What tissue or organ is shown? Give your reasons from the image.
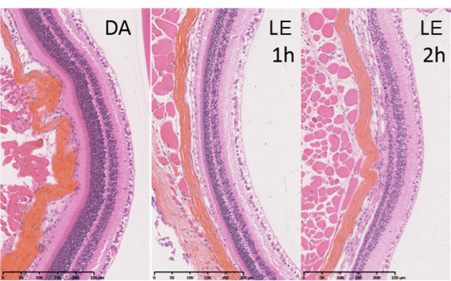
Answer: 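Stacked bands of densely packed purple nuclei separated by paler pink layers. A thin sparse row of nuclei lies at the inner edge of the tissue. An orange-stained fibrous coat runs along the outer side of the layered tissue.
Hence: retinal.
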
